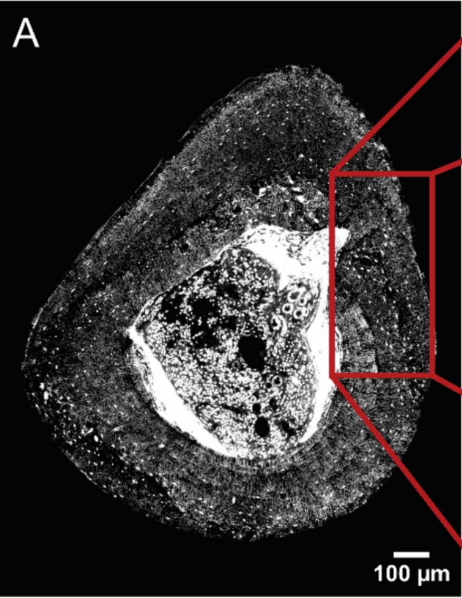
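Whole cross-section of a long bone with a ring of cortical bone around a central cavity. The cortex holds many small bright dots, the osteocyte lacunae, spread through its whole thickness, set in a fine grainy bright texture of the canalicular network. The cavity is filled with densely packed bright rounded marrow cells with dark gaps, and a smooth bright band lines part of its wall. The cortex is roughly triangular in outline, thicker on some sides, and shows faint concentric banding.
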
